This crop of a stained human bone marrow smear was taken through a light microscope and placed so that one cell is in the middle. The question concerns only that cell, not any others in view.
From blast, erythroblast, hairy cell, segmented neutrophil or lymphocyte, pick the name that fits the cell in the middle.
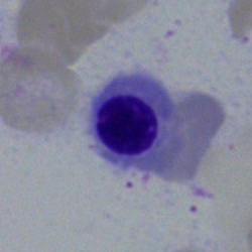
erythroblast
